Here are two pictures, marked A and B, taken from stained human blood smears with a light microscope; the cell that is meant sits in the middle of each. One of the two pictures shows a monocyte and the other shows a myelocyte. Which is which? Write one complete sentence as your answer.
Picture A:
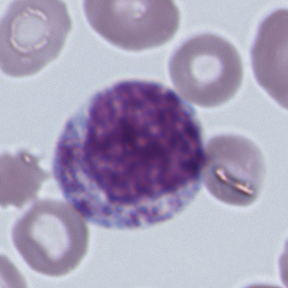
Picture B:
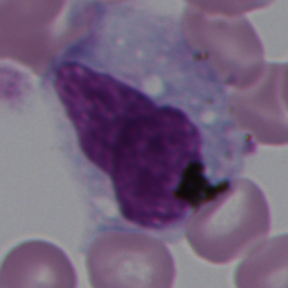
Picture A shows a myelocyte and picture B shows a monocyte.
